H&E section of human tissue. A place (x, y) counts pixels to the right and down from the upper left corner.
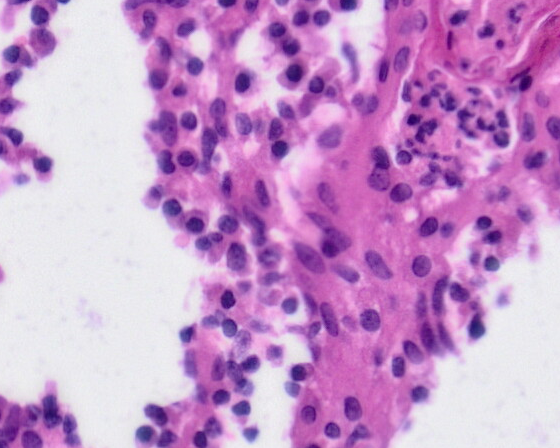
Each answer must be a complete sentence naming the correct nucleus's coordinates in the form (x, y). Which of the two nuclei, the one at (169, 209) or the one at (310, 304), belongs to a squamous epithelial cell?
The nucleus of a squamous epithelial cell is the one at (310, 304).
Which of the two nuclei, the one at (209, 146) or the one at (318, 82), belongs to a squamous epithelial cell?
The nucleus at position (209, 146) belongs to a squamous epithelial cell.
